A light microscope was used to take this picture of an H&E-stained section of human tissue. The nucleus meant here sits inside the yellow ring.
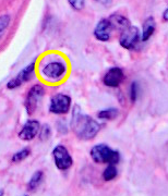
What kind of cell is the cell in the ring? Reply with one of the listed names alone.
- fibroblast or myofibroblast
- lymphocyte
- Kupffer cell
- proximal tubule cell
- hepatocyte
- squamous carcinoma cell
lymphocyte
